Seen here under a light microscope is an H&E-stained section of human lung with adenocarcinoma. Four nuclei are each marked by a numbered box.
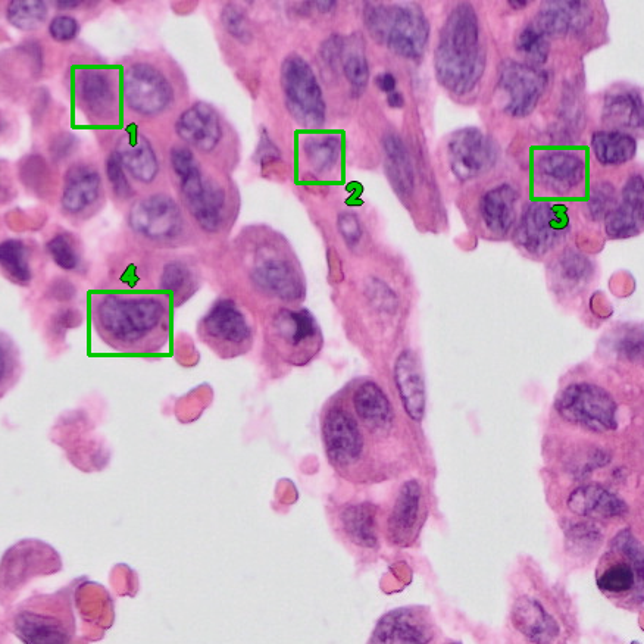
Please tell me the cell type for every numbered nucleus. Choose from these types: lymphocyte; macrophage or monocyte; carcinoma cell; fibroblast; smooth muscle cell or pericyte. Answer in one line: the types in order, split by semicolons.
carcinoma cell; macrophage or monocyte; carcinoma cell; carcinoma cell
